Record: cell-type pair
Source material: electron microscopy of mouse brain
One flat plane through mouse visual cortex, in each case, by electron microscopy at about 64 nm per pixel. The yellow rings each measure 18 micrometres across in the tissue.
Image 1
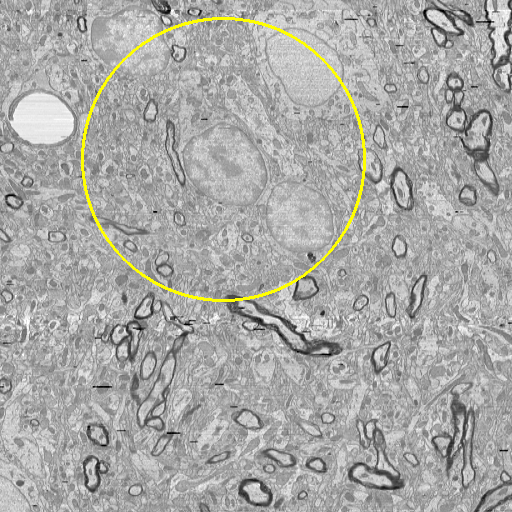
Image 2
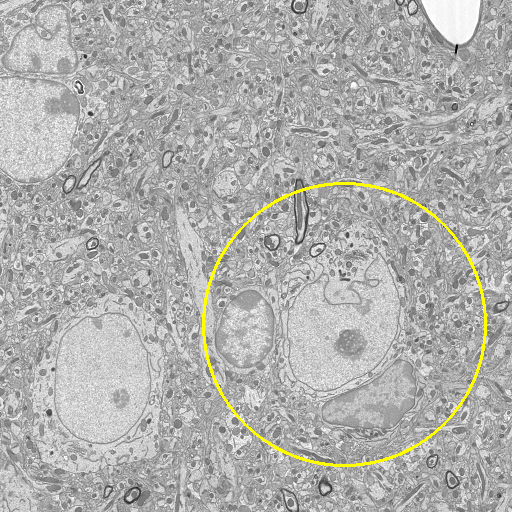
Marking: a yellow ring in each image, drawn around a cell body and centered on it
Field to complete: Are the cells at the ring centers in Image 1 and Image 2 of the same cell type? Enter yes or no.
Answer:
no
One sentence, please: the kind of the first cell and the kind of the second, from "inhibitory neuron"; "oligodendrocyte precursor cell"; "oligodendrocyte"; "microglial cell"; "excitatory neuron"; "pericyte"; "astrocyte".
The ring in the first picture surrounds an oligodendrocyte, and the ring in the second surrounds an inhibitory neuron.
